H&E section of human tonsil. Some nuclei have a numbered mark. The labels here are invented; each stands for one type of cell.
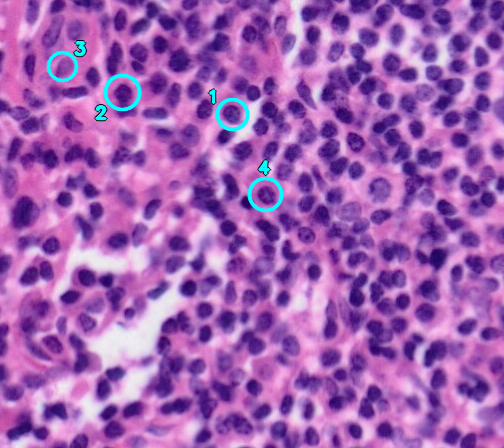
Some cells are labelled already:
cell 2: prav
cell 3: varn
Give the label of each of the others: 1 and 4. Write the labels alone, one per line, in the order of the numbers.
prav
prav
